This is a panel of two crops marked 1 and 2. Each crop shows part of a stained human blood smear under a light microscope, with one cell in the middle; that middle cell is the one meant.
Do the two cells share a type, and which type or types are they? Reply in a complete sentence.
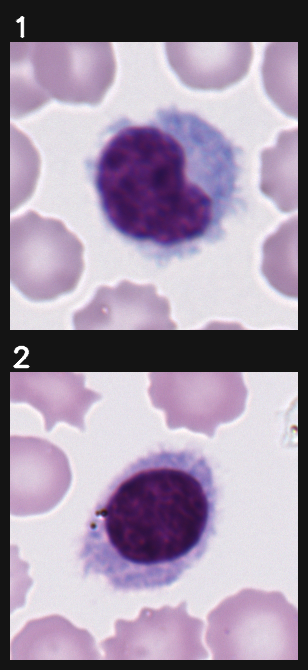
Yes, both crops show hairy cells, and that holds for each one.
